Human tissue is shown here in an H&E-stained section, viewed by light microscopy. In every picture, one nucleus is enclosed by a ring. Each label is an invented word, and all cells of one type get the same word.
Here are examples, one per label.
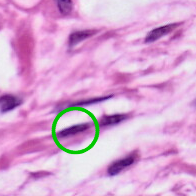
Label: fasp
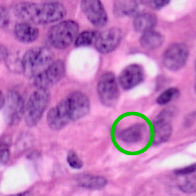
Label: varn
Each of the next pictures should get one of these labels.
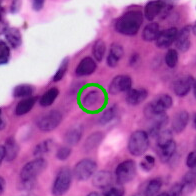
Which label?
varn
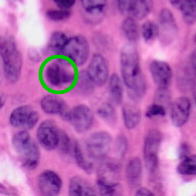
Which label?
varn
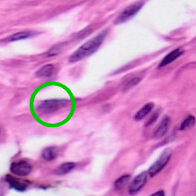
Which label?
fasp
